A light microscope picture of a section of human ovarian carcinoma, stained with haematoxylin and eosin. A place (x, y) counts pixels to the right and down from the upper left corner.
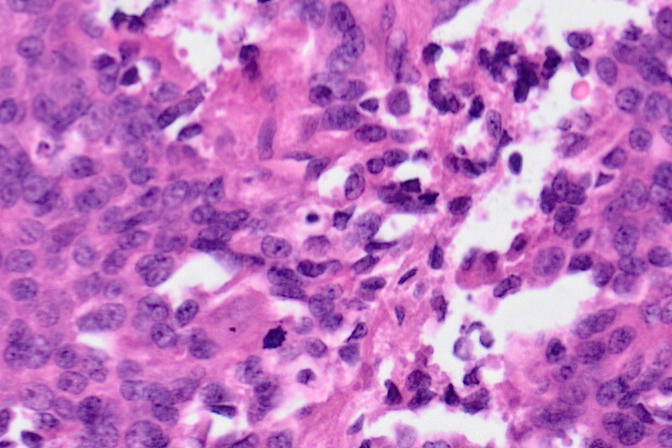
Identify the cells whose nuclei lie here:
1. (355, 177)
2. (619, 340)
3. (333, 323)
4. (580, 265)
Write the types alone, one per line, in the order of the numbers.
macrophage or monocyte
carcinoma cell
carcinoma cell
carcinoma cell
